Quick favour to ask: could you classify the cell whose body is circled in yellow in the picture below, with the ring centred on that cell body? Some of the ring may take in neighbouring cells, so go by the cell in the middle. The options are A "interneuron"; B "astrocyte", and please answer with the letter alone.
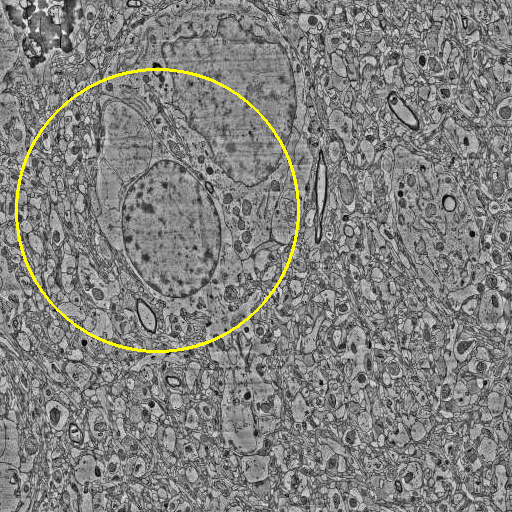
B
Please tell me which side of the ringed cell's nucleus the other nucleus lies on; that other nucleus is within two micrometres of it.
The other nucleus is situated to the upper right of it.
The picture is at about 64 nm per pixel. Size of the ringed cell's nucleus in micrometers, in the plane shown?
In this plane, about 9 micrometres in length and 6 in width.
